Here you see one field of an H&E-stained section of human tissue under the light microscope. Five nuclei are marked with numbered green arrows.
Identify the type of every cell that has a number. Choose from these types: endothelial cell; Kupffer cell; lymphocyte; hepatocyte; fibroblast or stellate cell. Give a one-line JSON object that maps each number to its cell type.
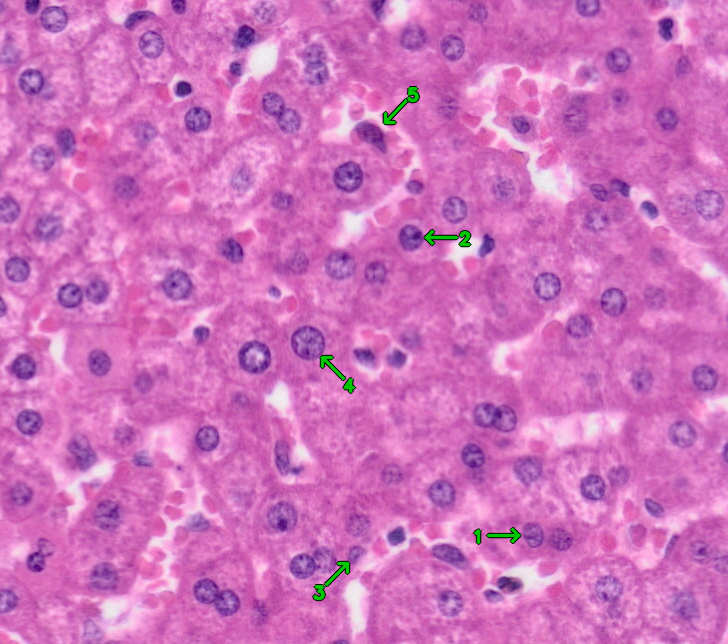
{"1": "hepatocyte", "2": "hepatocyte", "3": "Kupffer cell", "4": "hepatocyte", "5": "Kupffer cell"}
